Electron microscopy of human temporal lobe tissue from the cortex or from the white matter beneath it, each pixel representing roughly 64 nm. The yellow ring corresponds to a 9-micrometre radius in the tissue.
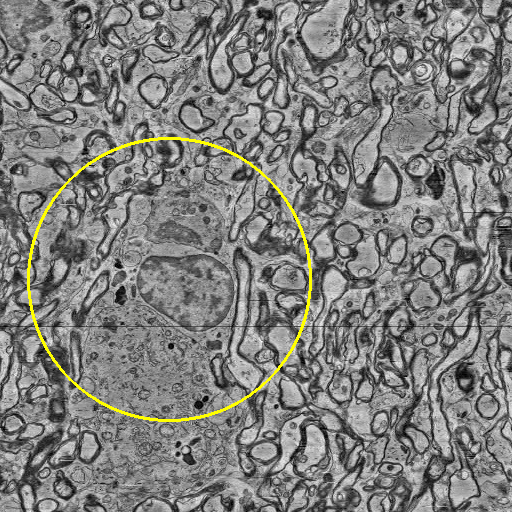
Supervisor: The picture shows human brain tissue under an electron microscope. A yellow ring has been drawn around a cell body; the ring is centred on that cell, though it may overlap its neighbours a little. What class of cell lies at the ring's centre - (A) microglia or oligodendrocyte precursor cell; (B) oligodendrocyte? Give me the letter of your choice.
A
